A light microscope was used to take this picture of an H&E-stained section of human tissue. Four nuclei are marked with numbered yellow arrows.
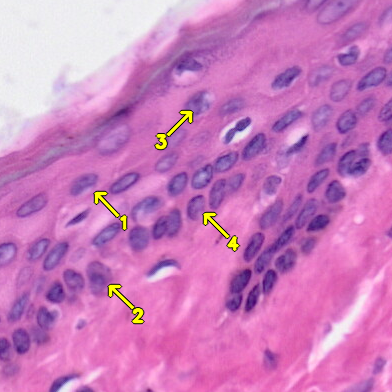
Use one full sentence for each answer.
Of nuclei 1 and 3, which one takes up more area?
Nucleus 3 is larger, with an area about 1.5 times that of nucleus 1.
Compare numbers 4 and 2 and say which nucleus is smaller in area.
Nucleus 4 covers less area, with nucleus 2 about 1.5 times as large.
